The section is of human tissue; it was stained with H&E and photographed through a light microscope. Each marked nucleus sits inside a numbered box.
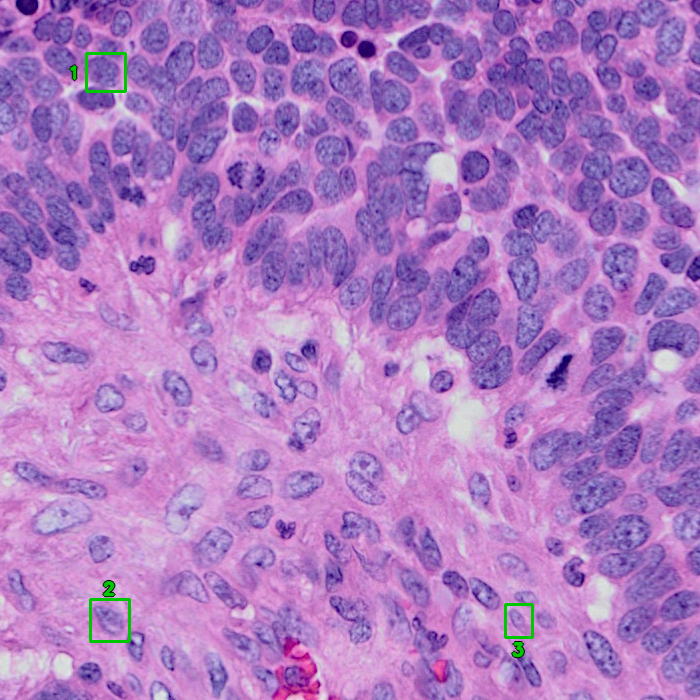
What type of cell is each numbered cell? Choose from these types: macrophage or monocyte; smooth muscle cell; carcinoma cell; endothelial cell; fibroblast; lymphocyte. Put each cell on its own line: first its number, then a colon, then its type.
1: carcinoma cell
2: fibroblast
3: fibroblast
